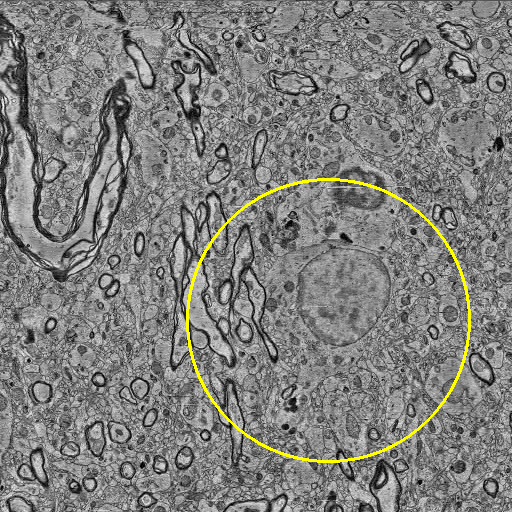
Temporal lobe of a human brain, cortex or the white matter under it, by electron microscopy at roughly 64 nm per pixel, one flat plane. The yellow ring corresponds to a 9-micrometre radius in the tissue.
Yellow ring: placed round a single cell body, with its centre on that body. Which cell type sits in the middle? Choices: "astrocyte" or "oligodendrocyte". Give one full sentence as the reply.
It is an oligodendrocyte whose cell body sits at the centre of the yellow ring.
